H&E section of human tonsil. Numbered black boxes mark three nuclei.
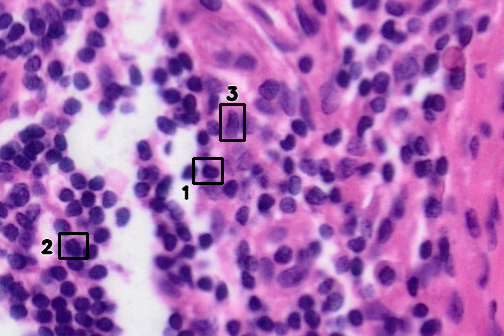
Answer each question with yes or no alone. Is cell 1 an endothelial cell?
no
